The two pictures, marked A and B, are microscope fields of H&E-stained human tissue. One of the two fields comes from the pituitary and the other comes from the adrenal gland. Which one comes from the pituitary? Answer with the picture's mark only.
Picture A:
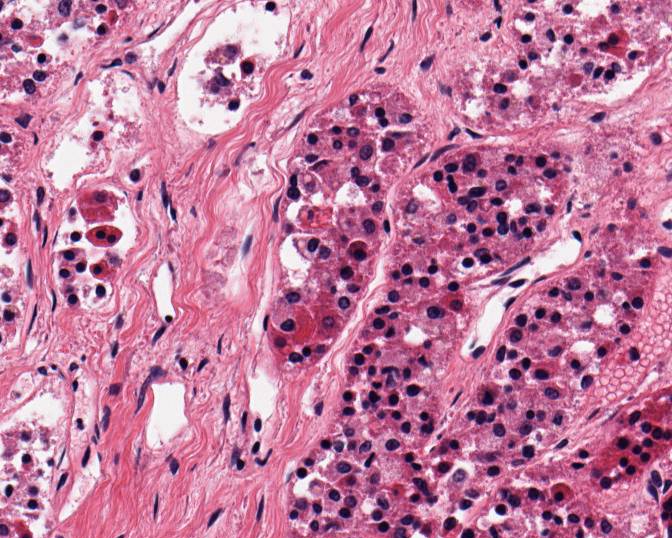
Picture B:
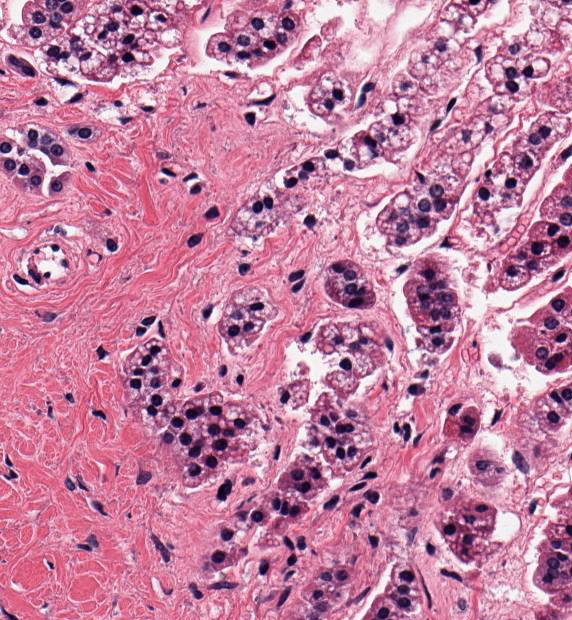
A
